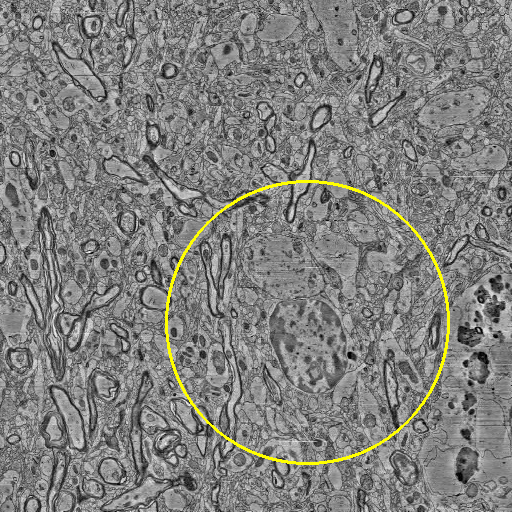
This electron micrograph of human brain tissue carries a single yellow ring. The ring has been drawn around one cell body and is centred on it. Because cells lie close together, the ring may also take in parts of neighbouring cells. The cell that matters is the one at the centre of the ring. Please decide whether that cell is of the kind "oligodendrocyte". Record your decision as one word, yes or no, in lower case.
no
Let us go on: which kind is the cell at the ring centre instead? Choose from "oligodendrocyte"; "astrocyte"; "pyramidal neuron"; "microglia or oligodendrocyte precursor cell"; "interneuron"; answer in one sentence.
So the cell at the centre is a microglial cell or oligodendrocyte precursor cell.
